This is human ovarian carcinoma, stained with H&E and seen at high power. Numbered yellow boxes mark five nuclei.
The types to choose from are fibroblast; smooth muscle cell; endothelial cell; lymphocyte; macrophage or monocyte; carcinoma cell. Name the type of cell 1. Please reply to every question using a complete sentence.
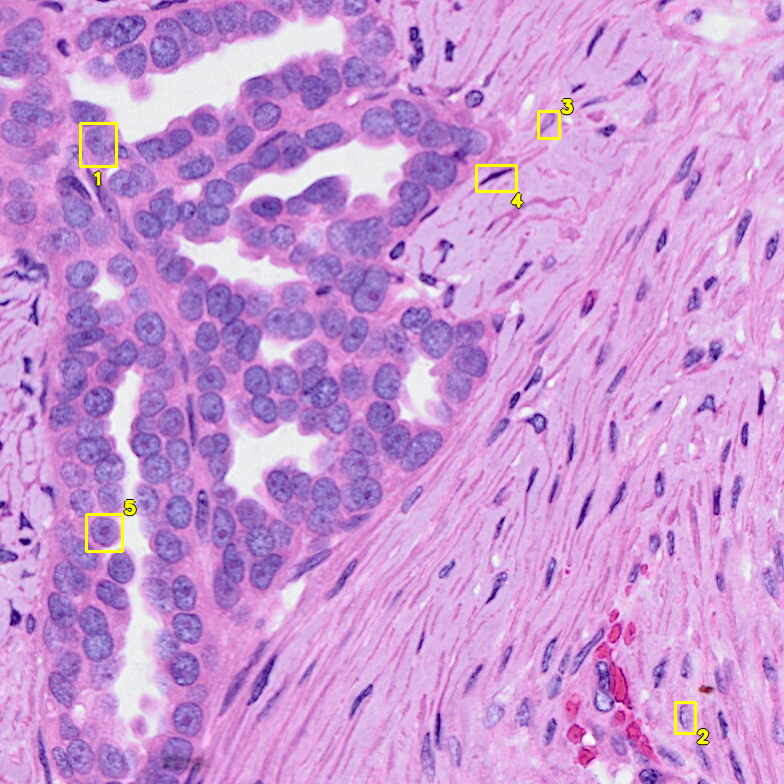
Looking at the numbered marks, cell 1 is a carcinoma cell.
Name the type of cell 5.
The cell marked with the number 5 is a carcinoma cell.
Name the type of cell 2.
The cell identified by the number 2 is a fibroblast.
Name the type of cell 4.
The cell pointed out by number 4 is a fibroblast.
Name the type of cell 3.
Cell 3 in the field of view is a fibroblast.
